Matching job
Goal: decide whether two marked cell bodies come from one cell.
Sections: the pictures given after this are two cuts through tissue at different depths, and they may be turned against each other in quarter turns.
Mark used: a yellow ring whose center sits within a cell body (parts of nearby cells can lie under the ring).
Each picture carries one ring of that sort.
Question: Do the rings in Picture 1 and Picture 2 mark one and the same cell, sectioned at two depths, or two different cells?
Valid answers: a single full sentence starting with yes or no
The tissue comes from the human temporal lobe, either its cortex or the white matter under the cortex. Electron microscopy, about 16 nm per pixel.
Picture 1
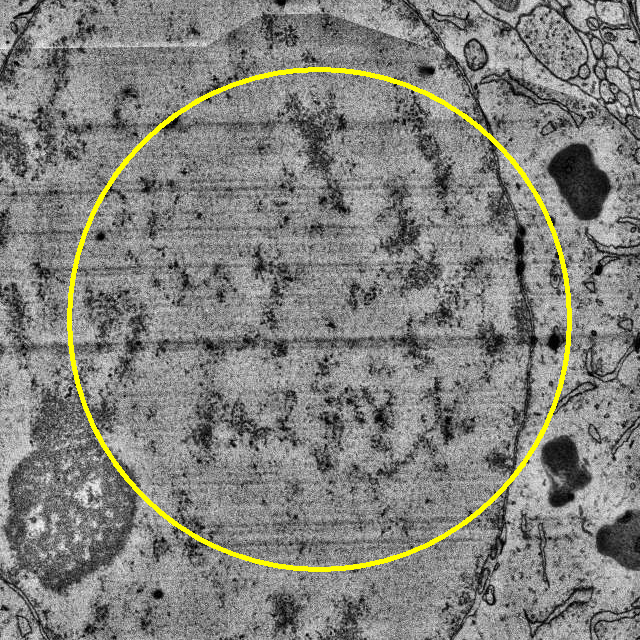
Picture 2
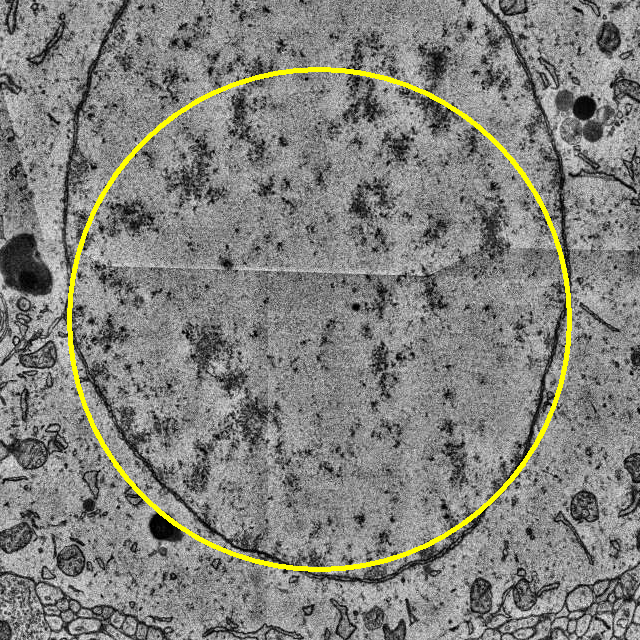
No, the two rings outline two separate cells in this micrograph.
